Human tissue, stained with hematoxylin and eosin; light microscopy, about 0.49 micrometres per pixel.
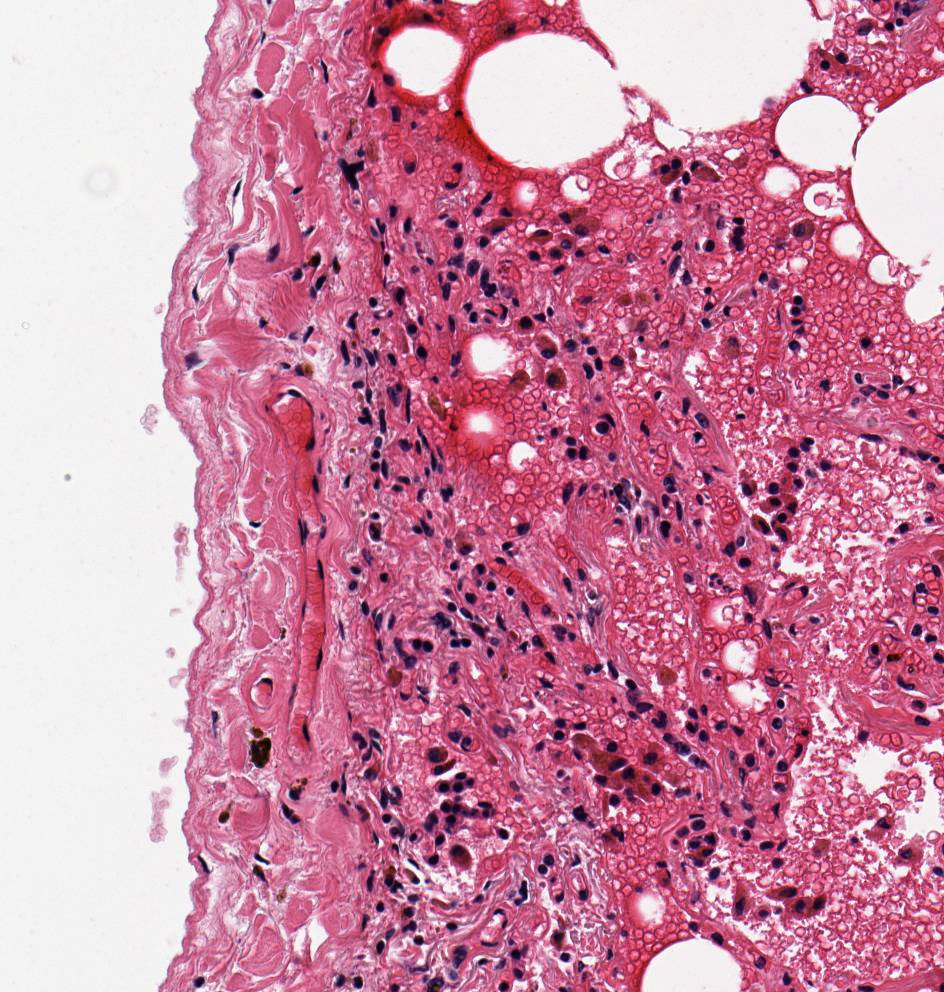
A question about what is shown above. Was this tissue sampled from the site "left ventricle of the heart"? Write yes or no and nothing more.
no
